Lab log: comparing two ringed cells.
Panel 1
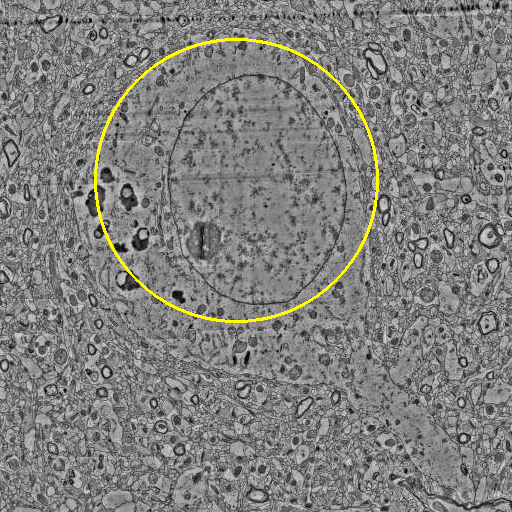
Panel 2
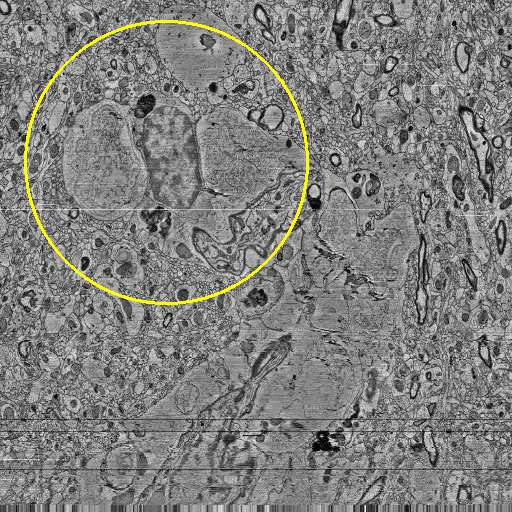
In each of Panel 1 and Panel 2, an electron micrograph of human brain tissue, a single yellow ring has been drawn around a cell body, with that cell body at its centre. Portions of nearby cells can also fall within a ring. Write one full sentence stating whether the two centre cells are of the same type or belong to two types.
The cells at the ring centres in Panel 1 and Panel 2 belong to two types.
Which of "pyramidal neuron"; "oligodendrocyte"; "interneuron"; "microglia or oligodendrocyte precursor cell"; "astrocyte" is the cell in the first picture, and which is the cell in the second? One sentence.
The two differ: the first cell is a pyramidal neuron and the second is an oligodendrocyte.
